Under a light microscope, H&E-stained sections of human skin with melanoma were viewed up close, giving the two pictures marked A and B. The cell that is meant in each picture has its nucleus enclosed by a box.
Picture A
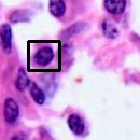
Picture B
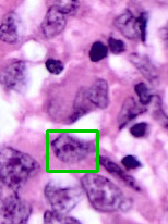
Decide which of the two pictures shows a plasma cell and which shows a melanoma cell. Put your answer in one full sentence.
Picture A is of a plasma cell, and picture B is of a melanoma cell.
